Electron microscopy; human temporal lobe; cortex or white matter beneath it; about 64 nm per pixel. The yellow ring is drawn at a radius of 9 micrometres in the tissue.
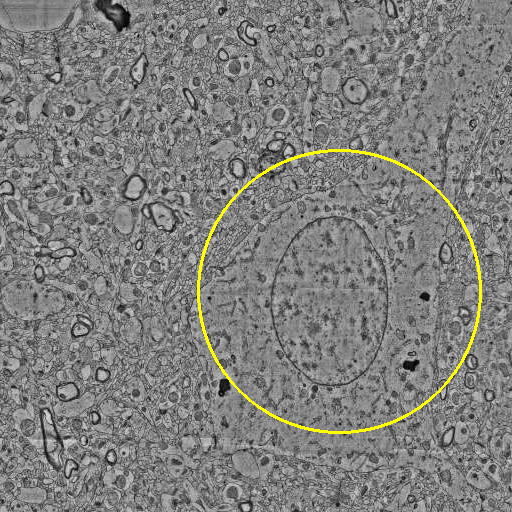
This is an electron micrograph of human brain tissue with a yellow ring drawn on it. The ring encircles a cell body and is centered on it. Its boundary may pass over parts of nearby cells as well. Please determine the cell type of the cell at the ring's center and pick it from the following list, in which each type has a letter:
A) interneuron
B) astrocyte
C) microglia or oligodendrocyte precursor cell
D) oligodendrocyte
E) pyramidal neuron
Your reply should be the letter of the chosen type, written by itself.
E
